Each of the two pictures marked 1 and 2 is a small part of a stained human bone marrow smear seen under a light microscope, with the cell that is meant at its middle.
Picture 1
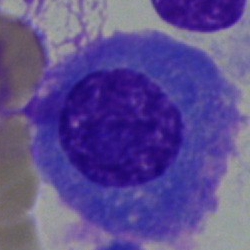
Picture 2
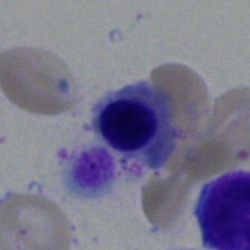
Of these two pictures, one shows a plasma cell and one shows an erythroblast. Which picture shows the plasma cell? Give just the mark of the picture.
1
